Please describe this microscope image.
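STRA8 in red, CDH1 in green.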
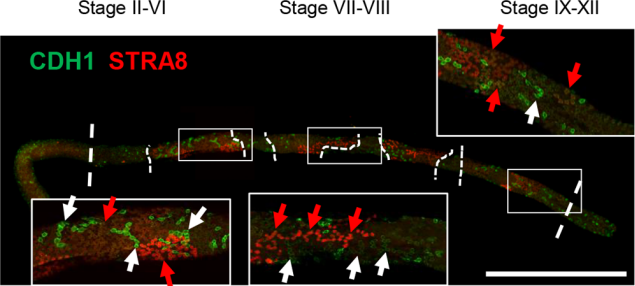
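A wholemount seminiferous tubule with green-outlined cells scattered in short chains and clusters along its length. Red-stained cells gather in discrete patches that alternate with stretches lacking red, and the enlarged boxes show red and green cell clusters lying side by side.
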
